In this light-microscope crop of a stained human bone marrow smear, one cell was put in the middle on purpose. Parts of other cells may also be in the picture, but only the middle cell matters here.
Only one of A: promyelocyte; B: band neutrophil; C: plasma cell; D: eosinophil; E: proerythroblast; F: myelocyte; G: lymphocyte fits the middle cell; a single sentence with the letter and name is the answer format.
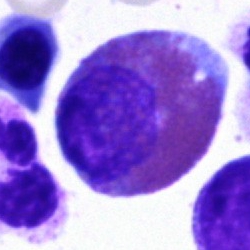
The cell placed in the middle is an eosinophil; option D is correct.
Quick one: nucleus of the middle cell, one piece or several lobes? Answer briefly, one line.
Please observe that the nucleus consists of one compact round, oval or kidney-shaped mass.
